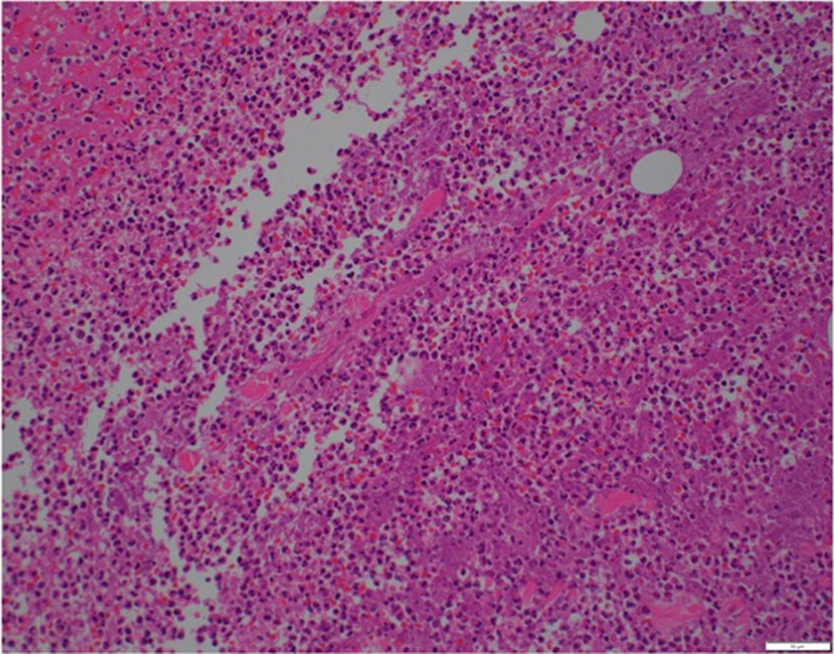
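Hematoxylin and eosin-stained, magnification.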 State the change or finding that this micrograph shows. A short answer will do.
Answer: intense neutrophilic infiltration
